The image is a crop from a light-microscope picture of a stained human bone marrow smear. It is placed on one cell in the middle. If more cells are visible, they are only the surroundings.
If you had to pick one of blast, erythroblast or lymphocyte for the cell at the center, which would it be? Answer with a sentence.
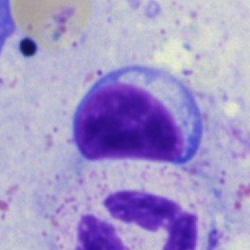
This crop's central cell is a lymphocyte.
